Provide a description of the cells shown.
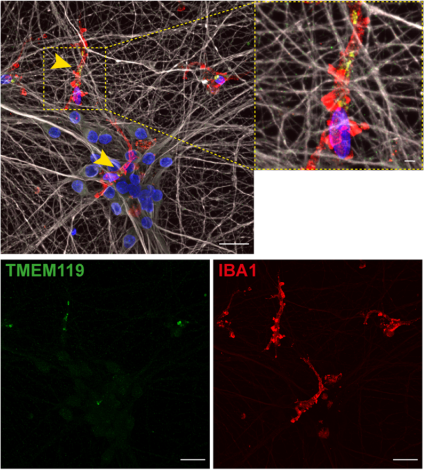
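This is a culture of neurons with microglia lying among them. A dense meshwork of fine grey fibres, the neuronal processes, covers the field, with a cluster of round blue nuclei in the lower part. Scattered across the mesh are small red cells with irregular, branching outlines and short processes: these are the microglia. The enlarged view shows one of them closely, its red body wrapped around a nucleus, with a few small green dots on it. In the single-colour images below, the green appears as sparse dots, while the red picks out a handful of separate, ramified cells.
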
